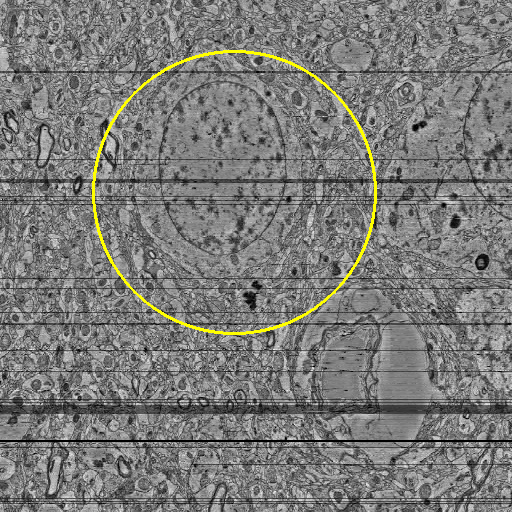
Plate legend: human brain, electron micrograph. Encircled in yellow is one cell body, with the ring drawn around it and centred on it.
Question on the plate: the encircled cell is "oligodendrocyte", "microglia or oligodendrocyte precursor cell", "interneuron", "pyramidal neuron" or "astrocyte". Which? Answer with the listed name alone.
pyramidal neuron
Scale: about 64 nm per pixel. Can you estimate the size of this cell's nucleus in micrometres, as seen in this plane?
In this plane the nucleus measures roughly 11 by 8 micrometers.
